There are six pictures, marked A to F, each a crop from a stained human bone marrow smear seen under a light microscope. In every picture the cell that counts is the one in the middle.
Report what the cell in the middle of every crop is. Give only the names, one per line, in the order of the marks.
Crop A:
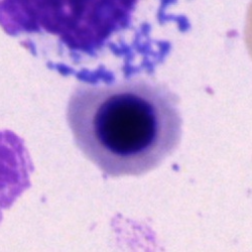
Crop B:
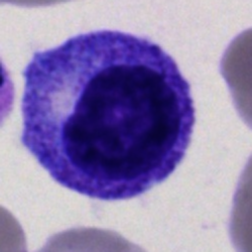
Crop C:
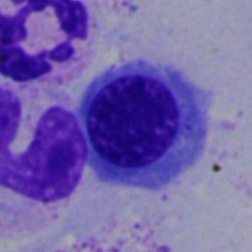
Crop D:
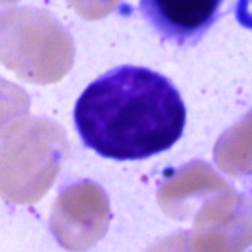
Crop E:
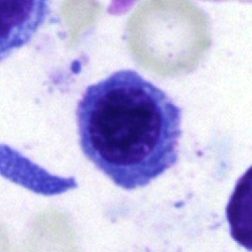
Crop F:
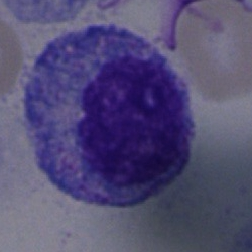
normoblast
promyelocyte
normoblast
lymphocyte
normoblast
promyelocyte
